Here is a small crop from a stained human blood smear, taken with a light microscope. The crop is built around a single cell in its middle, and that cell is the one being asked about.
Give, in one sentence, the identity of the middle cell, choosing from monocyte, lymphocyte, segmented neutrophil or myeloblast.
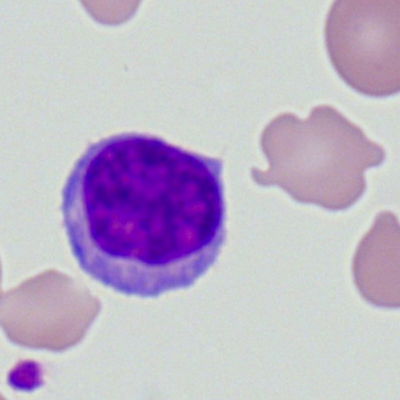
Present in the middle of the crop is a lymphocyte.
